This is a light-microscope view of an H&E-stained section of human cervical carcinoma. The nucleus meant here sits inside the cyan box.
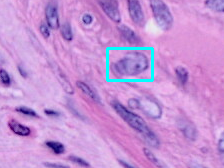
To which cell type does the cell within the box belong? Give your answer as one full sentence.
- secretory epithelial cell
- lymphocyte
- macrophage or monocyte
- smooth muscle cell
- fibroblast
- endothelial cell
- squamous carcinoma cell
Just put down that the cell within the box is a smooth muscle cell.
